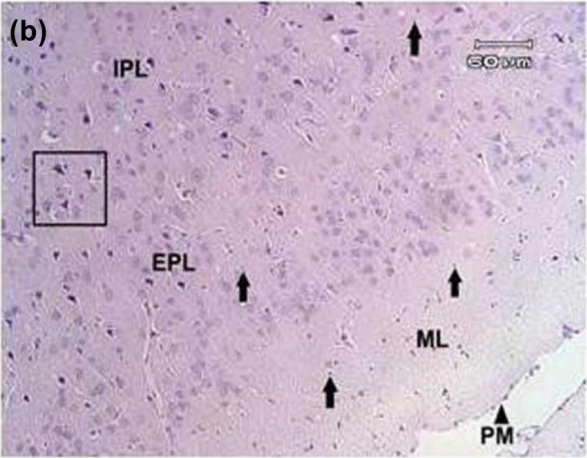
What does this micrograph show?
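This section of cerebral cortex shows a pale molecular layer under the pia and deeper layers packed with neurons in a pink neuropil. Many pyramidal neurons have small, darkly stained, condensed nuclei, unlike the paler round nuclei of other cells. Some of these altered cells appear shrunken and angular. Thin vessel profiles cross the tissue.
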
